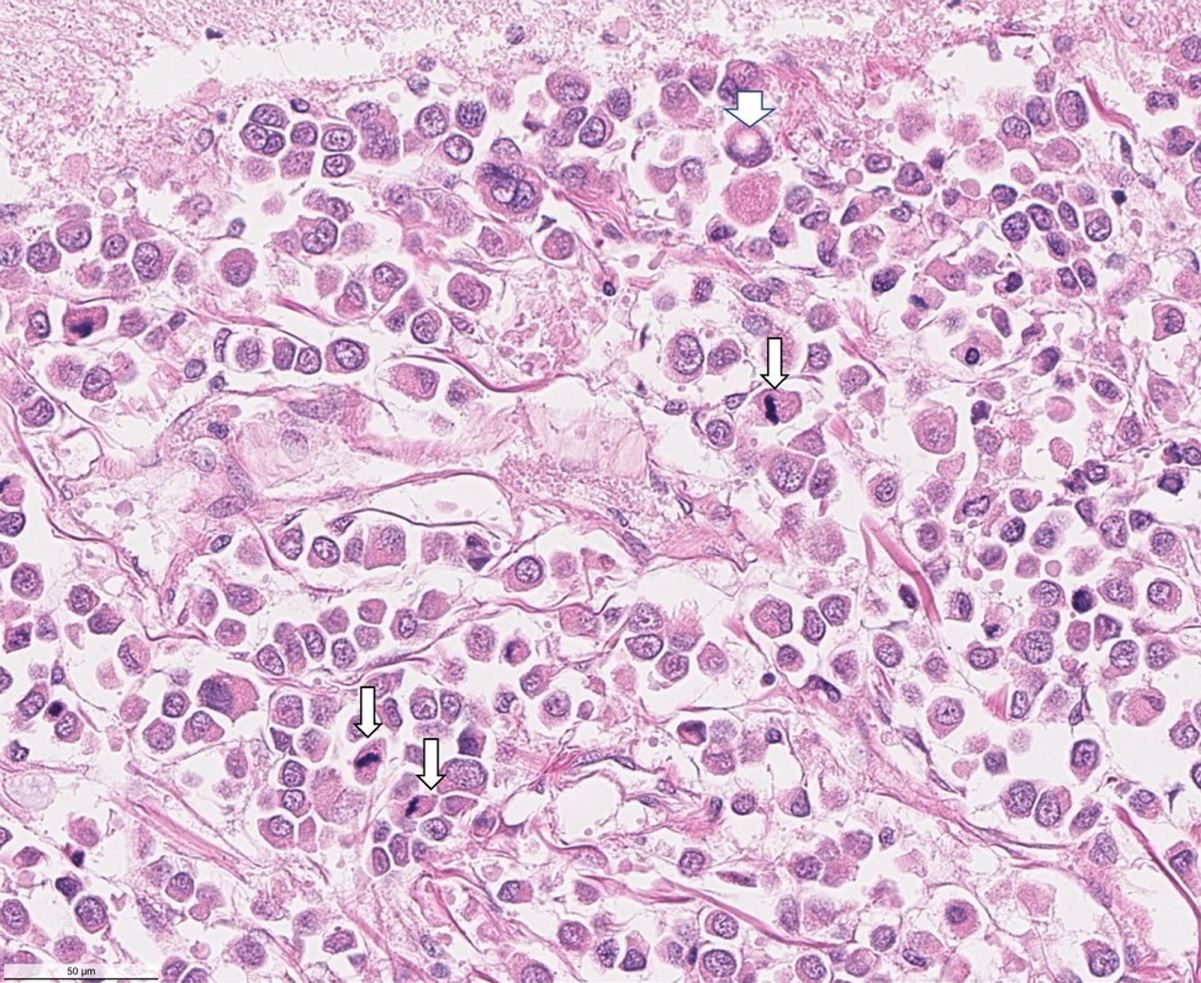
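Large rounded cells lie loosely in small nests and sheets, separated by thin pink fibrous strands. Several cells in mitosis with dark, clumped chromatin are scattered among them, and one rounded cell near the top holds a circular pale space inside its cytoplasm.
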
